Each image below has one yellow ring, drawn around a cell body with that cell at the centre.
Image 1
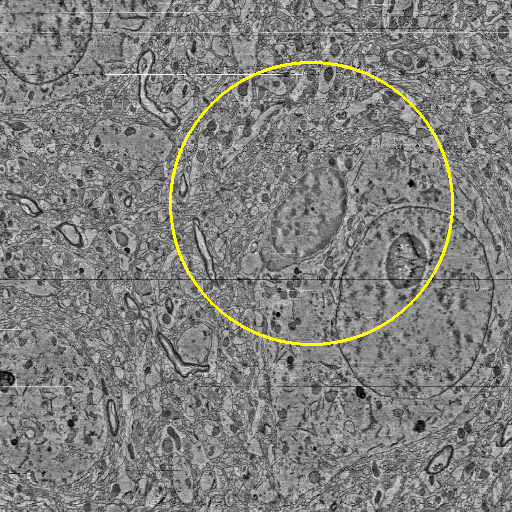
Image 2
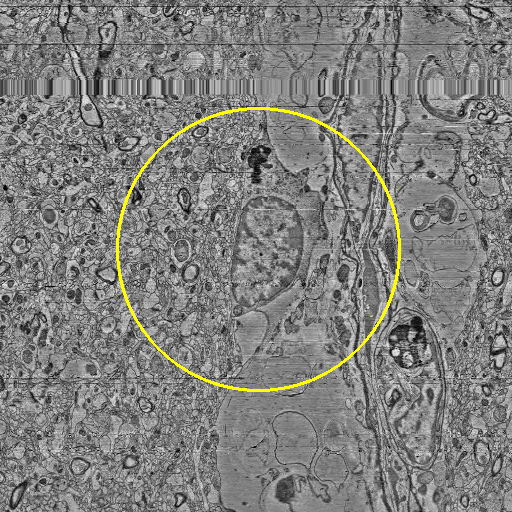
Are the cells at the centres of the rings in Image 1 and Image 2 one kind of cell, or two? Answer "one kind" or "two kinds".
one kind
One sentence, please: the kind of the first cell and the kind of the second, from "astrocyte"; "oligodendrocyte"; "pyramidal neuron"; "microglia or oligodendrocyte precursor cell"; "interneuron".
Both rings mark an oligodendrocyte, one in each picture.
